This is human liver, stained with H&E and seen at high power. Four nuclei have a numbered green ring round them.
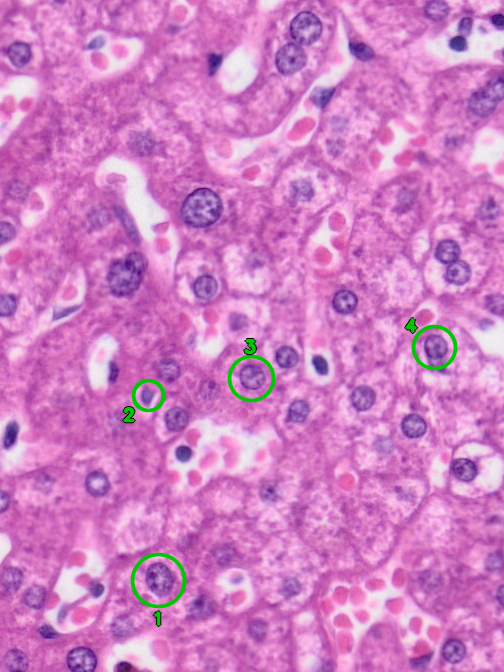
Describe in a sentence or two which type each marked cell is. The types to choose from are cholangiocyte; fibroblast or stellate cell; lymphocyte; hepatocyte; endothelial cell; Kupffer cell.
Cells 1, 3 and 4 are hepatocytes. Cell 2 is a lymphocyte.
